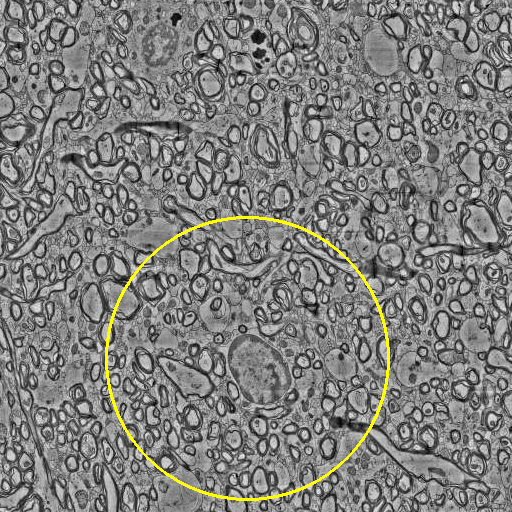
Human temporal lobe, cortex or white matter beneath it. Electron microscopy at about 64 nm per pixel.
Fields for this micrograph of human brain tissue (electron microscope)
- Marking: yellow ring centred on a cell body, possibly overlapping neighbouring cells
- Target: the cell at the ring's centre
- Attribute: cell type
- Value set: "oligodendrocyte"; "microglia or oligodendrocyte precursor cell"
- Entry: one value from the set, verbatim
microglia or oligodendrocyte precursor cell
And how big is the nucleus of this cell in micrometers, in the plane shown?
Roughly 5 by 3 micrometres is the size of the nucleus in this plane.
